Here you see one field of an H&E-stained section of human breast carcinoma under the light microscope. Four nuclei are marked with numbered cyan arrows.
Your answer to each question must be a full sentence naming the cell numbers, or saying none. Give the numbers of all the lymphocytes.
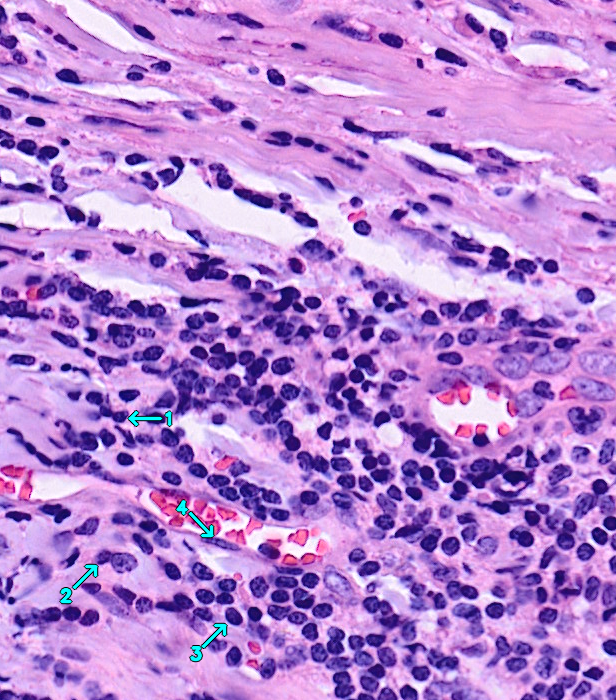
The cells which carry the numbers 1, 2 and 3 are lymphocytes.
